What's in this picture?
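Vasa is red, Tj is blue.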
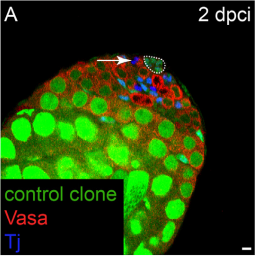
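Apical tip of a testis with a compact hub cluster at the tip, ringed by small somatic cells with blue nuclei and by germ cells. Small blue-nucleated somatic cells lie between the germ cells close to the hub. Further from the tip the green nuclei become larger and more widely spaced. A few cells near the hub lack green signal.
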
